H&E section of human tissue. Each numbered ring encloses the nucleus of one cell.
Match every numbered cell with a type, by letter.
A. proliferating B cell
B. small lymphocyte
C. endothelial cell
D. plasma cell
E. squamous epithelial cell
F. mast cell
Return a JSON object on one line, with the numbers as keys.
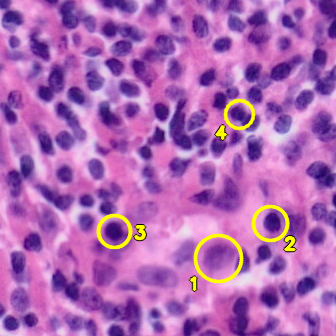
{"1": "C", "2": "C", "3": "C", "4": "B"}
